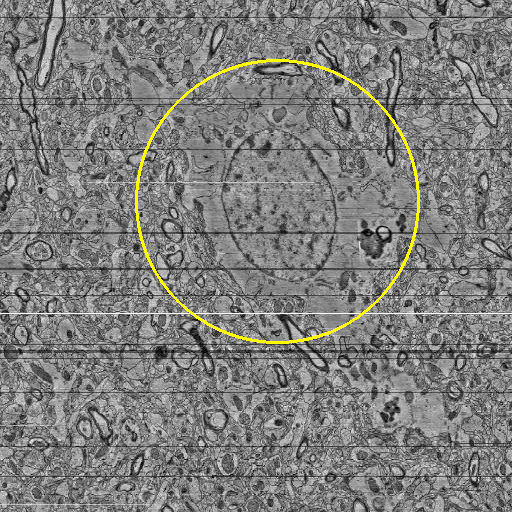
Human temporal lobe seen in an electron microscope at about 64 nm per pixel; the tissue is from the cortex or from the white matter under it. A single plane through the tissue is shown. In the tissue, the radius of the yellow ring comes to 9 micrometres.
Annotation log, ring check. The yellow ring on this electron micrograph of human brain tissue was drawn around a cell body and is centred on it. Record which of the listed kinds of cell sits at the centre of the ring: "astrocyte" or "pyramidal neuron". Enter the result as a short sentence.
The cell at the centre of the ring is an astrocyte.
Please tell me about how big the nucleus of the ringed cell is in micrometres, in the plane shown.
About 10 by 7 micrometers for the nucleus, in this plane.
